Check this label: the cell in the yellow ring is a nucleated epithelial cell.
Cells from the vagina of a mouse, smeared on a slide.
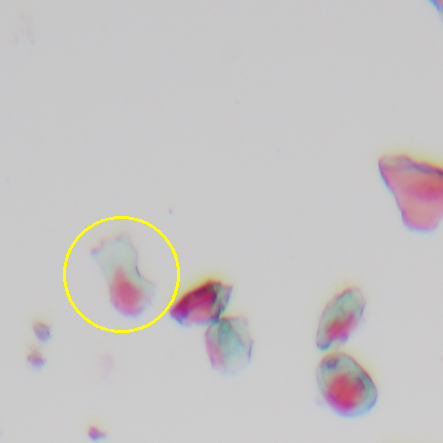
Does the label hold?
The label holds; the cell is a nucleated epithelial cell.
